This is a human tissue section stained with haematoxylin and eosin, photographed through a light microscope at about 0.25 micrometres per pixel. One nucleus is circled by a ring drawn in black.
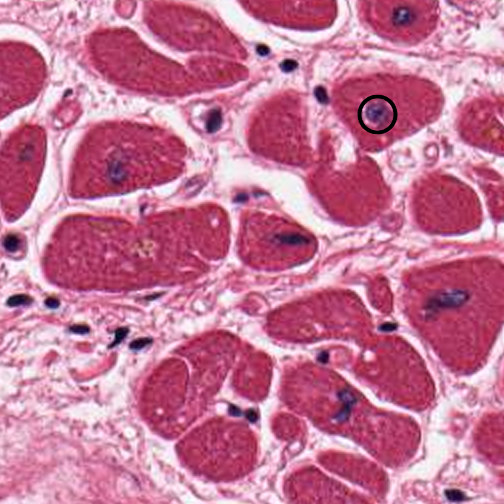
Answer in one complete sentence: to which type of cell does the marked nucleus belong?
The nucleus singled out by the mark belongs to a cardiomyocyte.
